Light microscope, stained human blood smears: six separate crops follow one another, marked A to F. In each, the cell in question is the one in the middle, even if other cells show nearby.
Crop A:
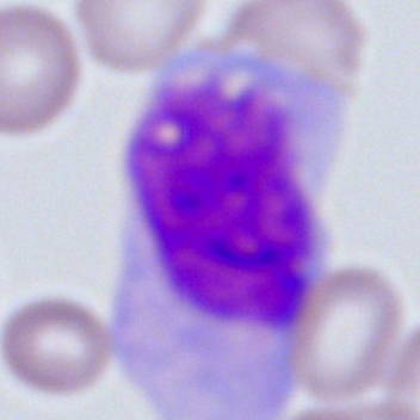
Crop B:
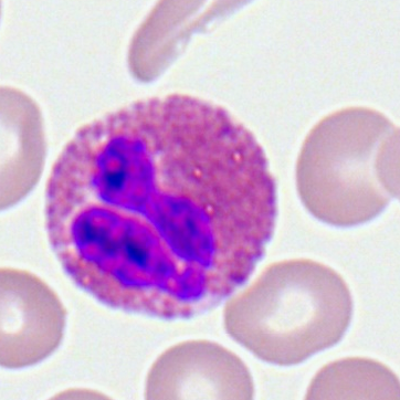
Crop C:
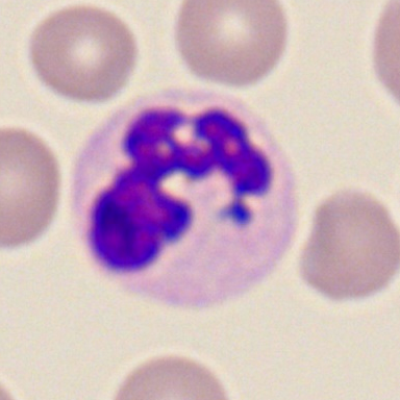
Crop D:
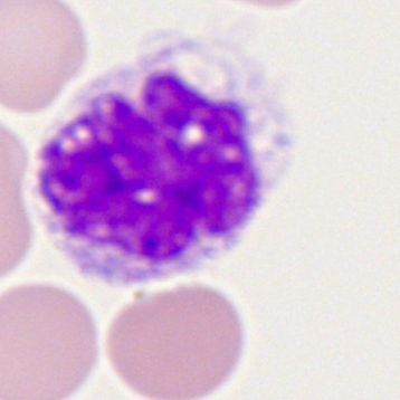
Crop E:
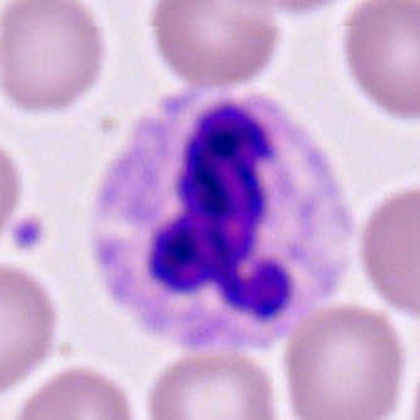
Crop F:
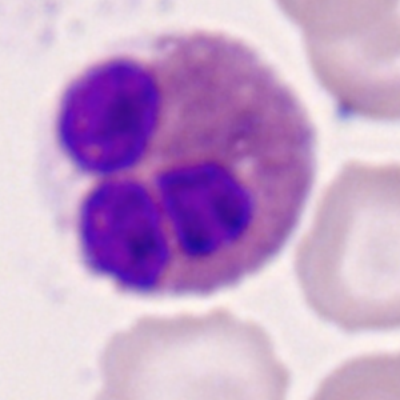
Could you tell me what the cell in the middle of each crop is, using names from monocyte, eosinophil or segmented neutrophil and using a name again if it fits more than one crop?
A: monocyte
B: eosinophil
C: segmented neutrophil
D: monocyte
E: segmented neutrophil
F: eosinophil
